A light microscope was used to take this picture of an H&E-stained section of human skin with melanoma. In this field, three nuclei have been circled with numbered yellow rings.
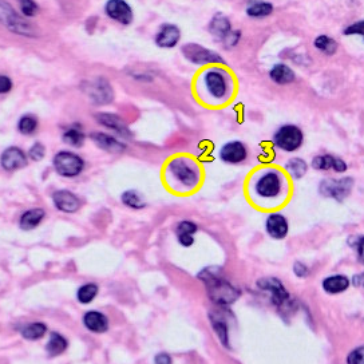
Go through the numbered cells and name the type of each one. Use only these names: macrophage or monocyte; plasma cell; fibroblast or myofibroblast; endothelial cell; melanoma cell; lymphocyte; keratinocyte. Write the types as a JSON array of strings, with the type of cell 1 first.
["lymphocyte", "macrophage or monocyte", "lymphocyte"]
